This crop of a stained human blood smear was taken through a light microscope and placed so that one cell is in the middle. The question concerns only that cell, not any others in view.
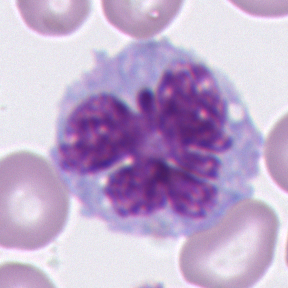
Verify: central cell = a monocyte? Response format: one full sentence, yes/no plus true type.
Yes, in this crop the cell in the middle is a monocyte.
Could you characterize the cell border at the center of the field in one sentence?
The cell margin is rough and uneven, either ragged or drawn into projections.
